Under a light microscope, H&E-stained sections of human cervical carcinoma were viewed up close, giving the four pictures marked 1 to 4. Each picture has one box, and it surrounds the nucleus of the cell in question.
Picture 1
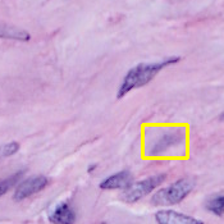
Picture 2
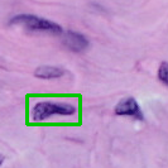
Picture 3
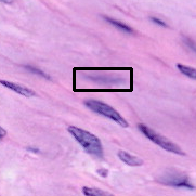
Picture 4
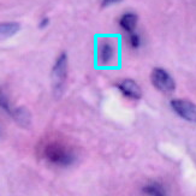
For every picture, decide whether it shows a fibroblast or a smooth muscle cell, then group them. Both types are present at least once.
1: smooth muscle cell
2: fibroblast
3: fibroblast
4: fibroblast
